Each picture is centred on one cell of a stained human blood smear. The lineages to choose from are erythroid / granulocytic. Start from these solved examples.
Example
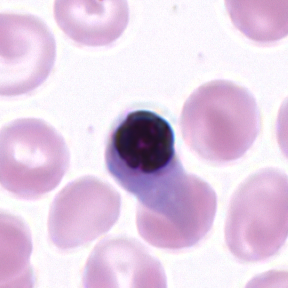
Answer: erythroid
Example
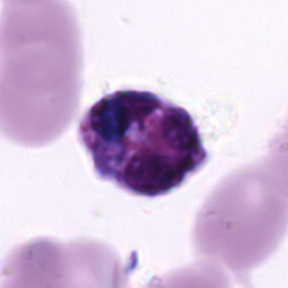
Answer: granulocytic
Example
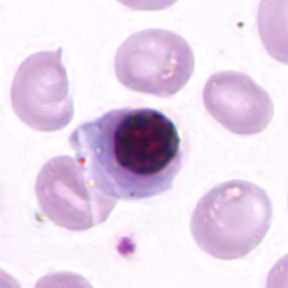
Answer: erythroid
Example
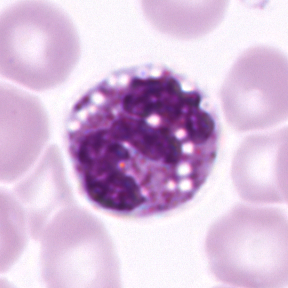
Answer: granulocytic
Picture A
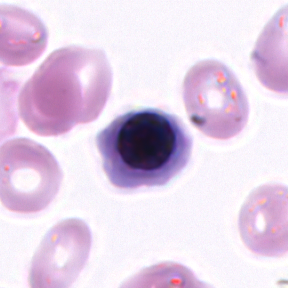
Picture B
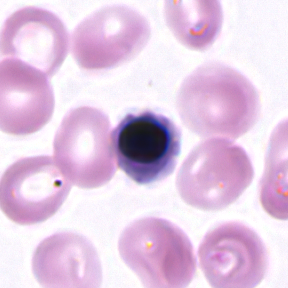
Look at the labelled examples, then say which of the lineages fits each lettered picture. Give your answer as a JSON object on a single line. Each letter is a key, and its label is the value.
{"A": "erythroid", "B": "erythroid"}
